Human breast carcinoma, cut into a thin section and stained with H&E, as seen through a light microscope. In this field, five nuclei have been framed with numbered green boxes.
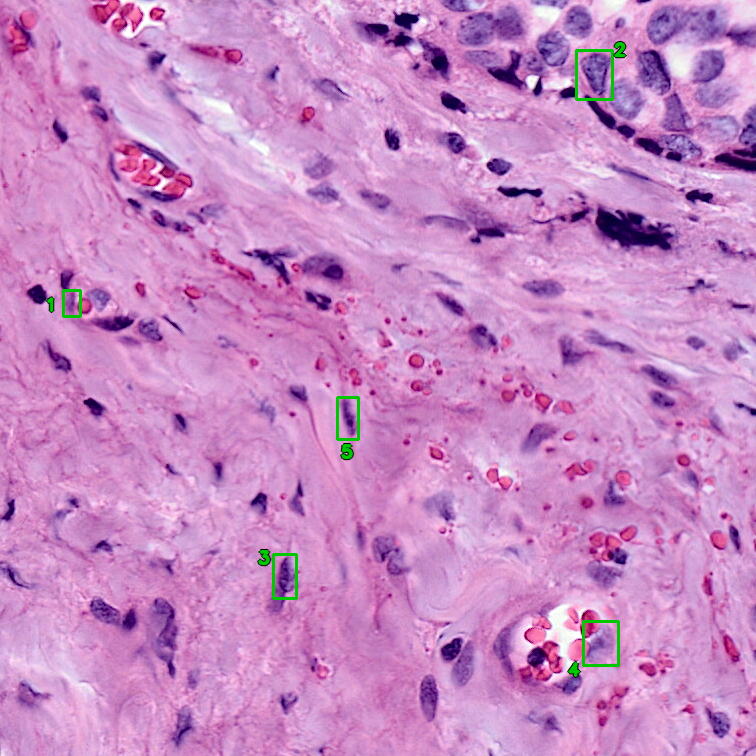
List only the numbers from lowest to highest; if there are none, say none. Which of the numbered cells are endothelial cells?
1, 4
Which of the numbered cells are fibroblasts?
3, 5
